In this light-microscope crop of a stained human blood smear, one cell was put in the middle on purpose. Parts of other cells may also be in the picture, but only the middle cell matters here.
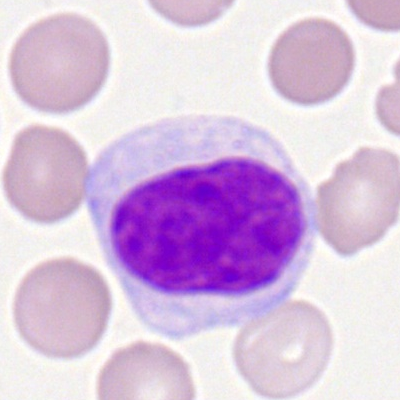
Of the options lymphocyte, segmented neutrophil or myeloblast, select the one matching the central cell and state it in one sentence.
Answering briefly, the cell in the middle is a lymphocyte.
